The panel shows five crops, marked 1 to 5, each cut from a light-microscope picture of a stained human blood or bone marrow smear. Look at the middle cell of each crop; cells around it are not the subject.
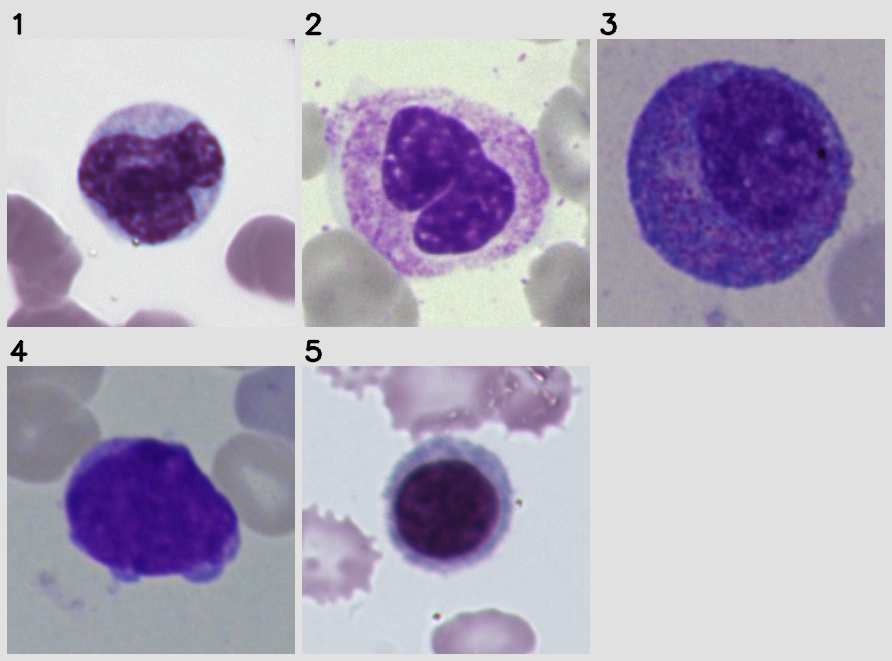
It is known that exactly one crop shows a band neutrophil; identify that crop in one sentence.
Only in crop 2 is a band neutrophil shown.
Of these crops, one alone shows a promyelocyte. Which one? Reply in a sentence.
Crop 3 is where a promyelocyte is shown.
